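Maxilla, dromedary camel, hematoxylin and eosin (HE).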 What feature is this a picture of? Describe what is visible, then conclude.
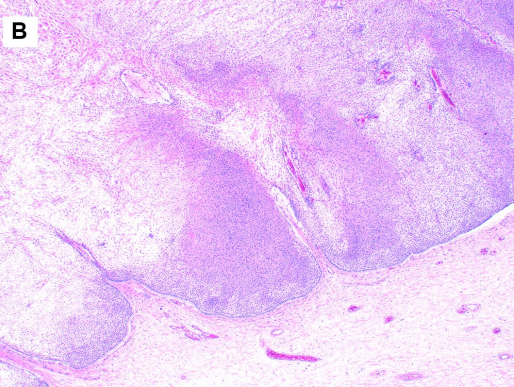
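Lobules. Rounded blue cellular islands separated by pink fibrous stroma.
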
